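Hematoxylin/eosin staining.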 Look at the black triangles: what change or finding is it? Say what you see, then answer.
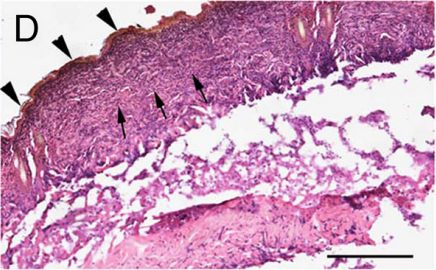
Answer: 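The triangles point at the surface layer of the skin.
Answer: irregular hyperplasia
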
